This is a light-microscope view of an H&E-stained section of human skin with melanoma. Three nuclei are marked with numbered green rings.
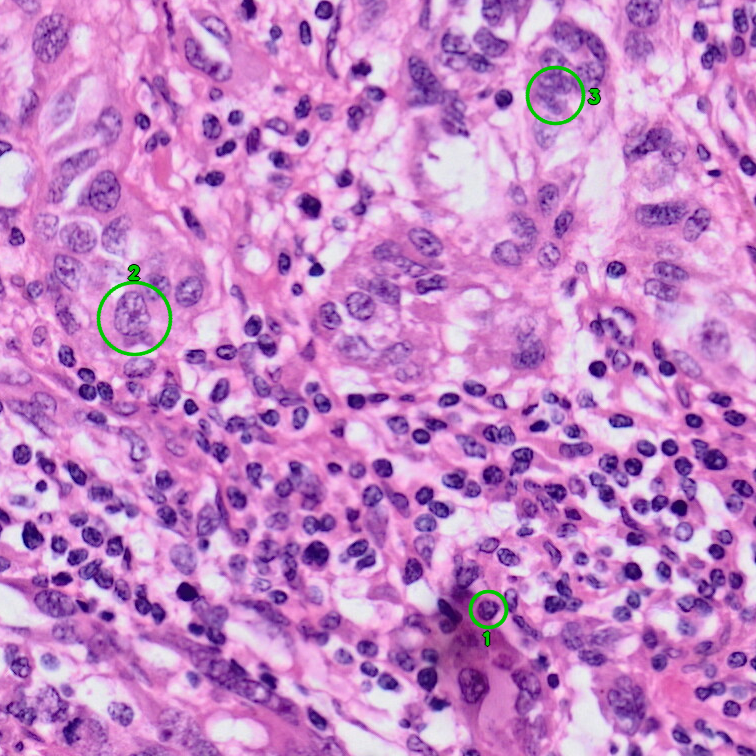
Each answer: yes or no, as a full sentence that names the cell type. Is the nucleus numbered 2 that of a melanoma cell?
Yes, the numbered cell 2 is identified as a melanoma cell.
